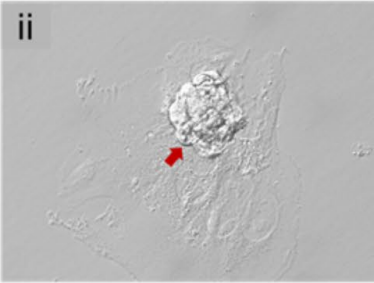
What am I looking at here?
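Underneath lies a flat, thin layer of very large spread cells with big oval nuclei, seen only faintly. Near the top sits a compact, irregular knot of small cells. Its surface is lumpy and bright-edged, with many small rounded cell bodies crowded together, so it looks rough rather than smooth. It is far smaller than the flat layer it rests on and covers only a small part of it, clearly standing up from the surrounding thin cells.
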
